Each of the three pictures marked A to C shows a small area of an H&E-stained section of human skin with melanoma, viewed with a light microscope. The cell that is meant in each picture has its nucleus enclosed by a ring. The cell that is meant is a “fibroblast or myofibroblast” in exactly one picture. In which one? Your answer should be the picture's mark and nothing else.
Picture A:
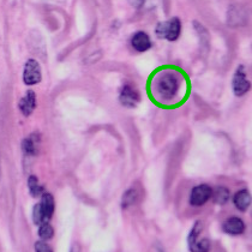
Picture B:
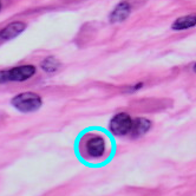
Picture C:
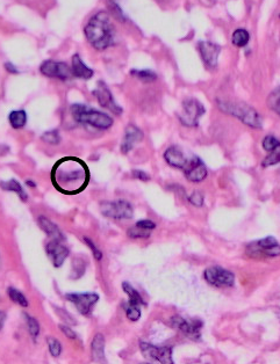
C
